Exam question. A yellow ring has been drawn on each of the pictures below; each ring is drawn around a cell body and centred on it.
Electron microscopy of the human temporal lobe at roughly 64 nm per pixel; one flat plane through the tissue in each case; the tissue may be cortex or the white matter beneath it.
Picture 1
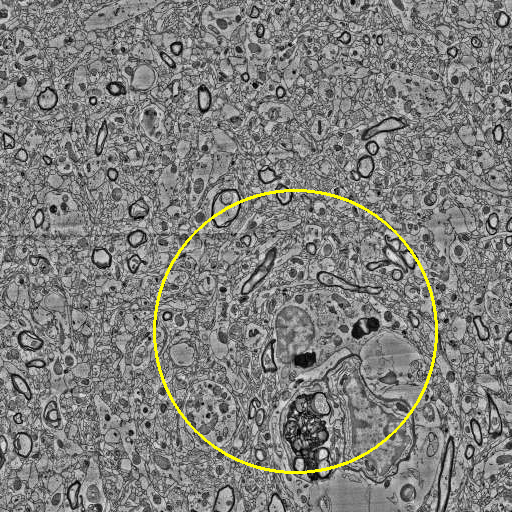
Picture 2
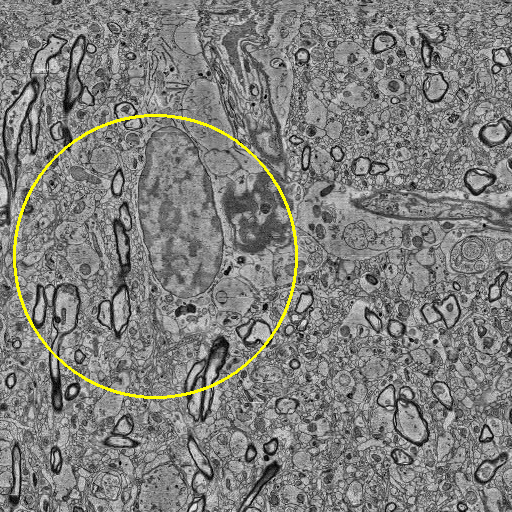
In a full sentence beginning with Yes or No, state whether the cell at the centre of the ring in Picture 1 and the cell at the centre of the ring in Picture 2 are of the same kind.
No, the cells are of two kinds.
